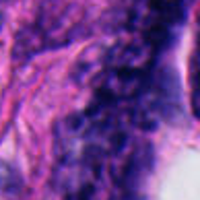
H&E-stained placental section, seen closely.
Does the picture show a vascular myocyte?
No, it shows a syncytial knot.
